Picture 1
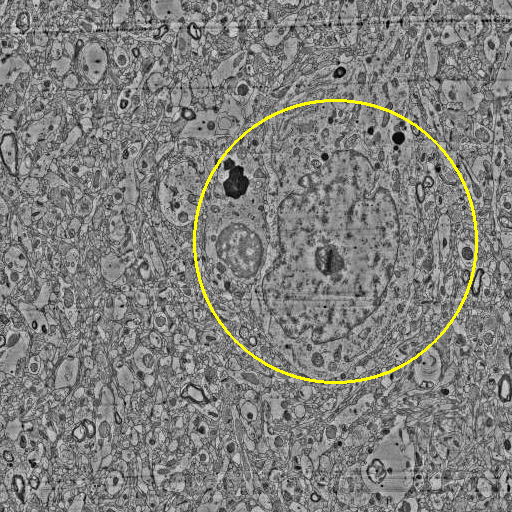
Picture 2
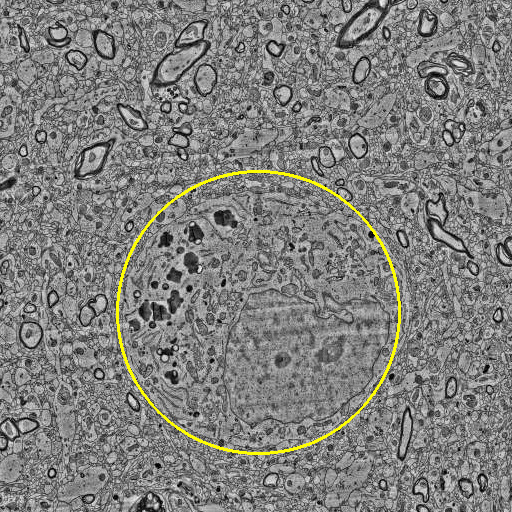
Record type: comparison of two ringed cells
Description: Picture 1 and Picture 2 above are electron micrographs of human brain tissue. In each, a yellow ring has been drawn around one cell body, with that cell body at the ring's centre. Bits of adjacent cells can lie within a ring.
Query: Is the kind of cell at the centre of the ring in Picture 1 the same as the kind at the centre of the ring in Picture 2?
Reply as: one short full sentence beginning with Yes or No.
Yes, the two ringed cells are of the same kind.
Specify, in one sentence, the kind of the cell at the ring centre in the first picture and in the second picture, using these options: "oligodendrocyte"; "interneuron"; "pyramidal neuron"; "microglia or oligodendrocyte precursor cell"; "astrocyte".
Each of the two rings is centred on an interneuron.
